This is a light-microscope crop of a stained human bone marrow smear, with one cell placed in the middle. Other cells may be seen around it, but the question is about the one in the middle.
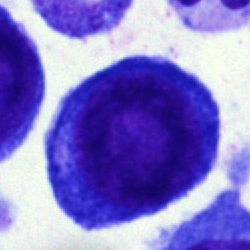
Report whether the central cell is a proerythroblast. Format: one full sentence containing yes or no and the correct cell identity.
Yes, the cell in the middle is rightly called a proerythroblast.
